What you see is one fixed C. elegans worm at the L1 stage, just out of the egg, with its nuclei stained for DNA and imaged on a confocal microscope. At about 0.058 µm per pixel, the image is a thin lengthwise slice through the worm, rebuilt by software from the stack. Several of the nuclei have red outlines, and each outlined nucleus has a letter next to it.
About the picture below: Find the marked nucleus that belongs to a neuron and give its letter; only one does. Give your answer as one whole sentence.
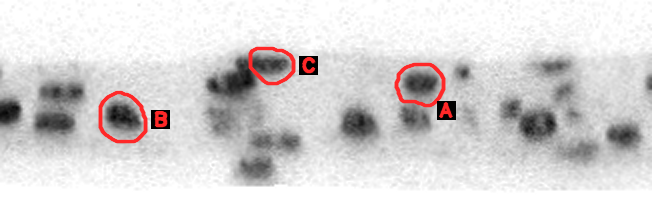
Of the marked nuclei, B is the one in a neuron.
